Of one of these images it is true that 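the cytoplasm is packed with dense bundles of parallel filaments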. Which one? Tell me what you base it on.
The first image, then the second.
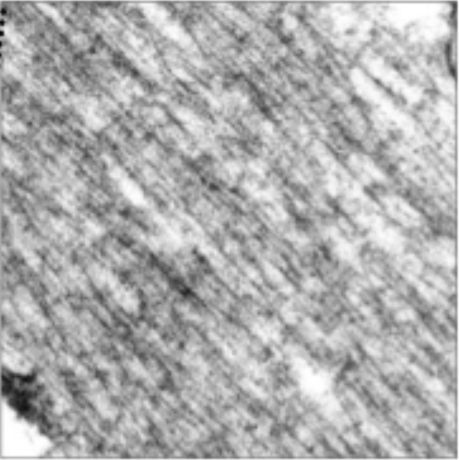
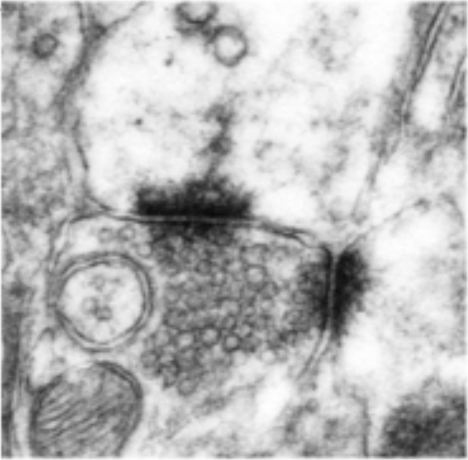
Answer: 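First image: the whole field is occupied by tightly packed parallel filaments.
The first image.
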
